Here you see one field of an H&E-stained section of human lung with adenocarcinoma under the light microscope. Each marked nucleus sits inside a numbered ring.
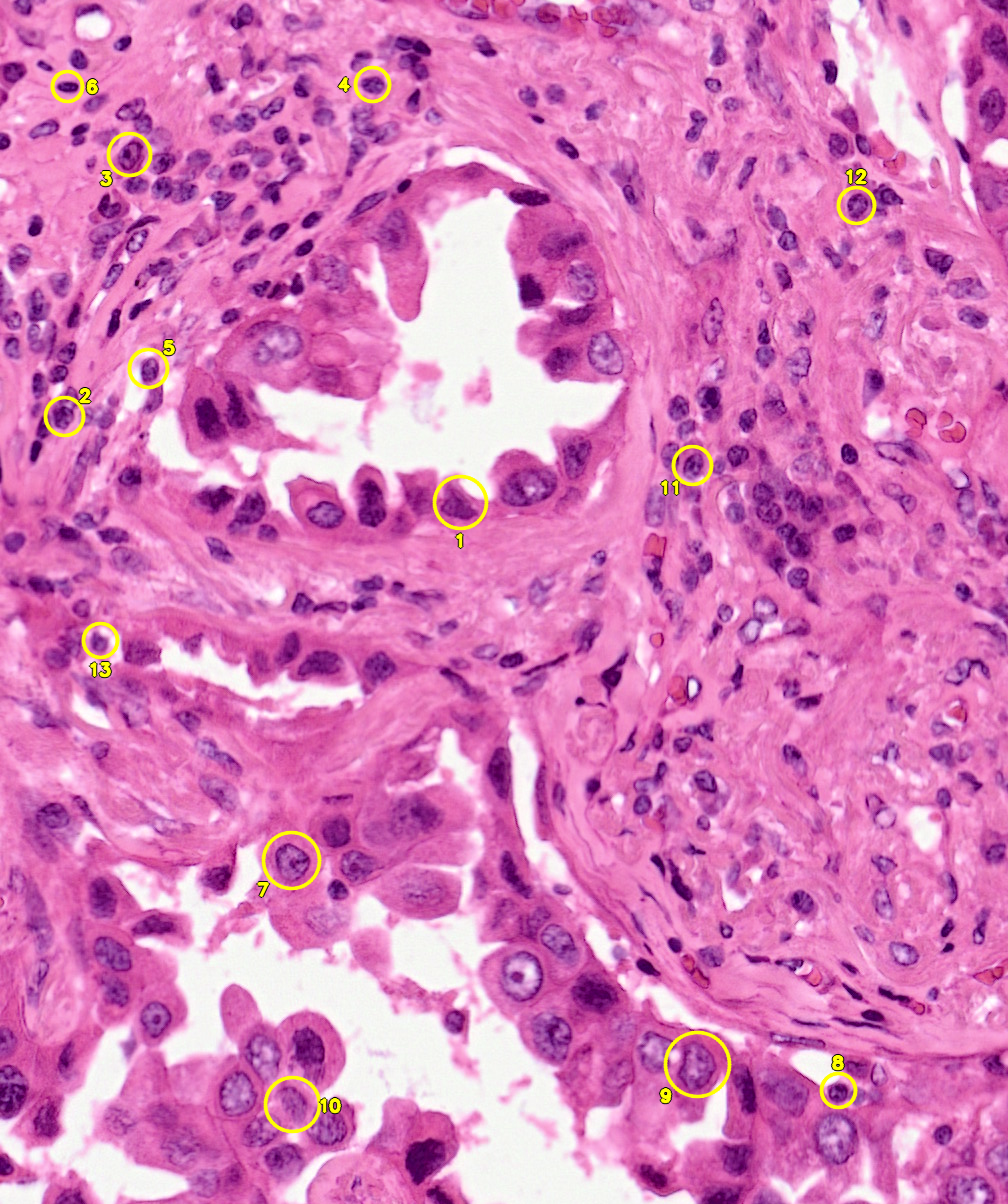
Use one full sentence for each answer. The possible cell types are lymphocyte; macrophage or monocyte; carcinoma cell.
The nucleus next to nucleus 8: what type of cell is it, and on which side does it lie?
The closest nucleus belongs to a lymphocyte and sits to the right of nucleus 8.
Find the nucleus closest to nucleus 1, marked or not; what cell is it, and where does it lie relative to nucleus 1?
The nearest nucleus is that of a carcinoma cell and lies to the left of nucleus 1.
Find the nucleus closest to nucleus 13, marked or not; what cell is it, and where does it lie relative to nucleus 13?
Just to the left of nucleus 13 lies the nearest nucleus, which belongs to a macrophage or monocyte.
